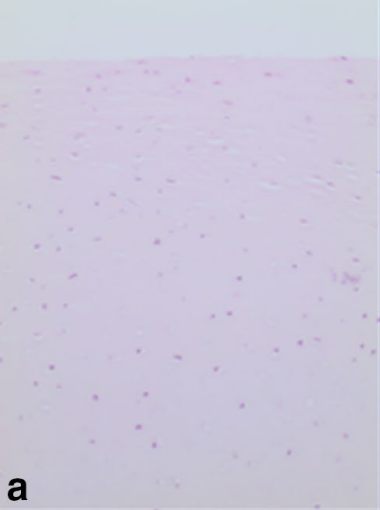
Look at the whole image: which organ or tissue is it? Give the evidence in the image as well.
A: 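Pale, smooth, glassy matrix fills the field. Small nuclei lie scattered singly in the matrix. No blood vessels are visible. On this evidence: chondroid tissue.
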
